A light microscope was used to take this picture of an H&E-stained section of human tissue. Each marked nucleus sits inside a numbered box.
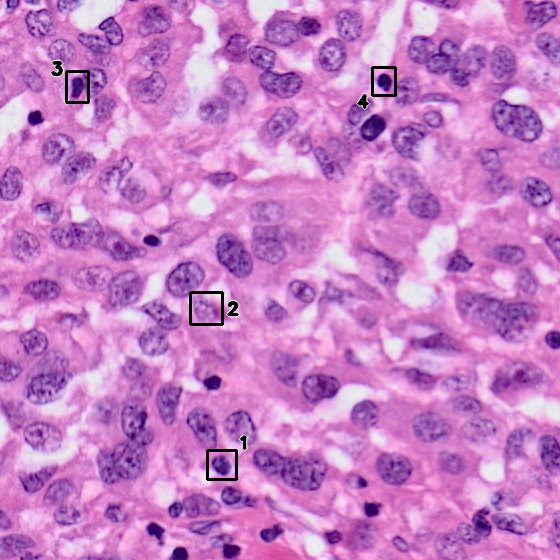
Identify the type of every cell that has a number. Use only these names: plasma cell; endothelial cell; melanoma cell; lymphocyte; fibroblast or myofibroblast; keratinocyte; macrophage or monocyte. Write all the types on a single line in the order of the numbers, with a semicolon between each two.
lymphocyte; melanoma cell; lymphocyte; lymphocyte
